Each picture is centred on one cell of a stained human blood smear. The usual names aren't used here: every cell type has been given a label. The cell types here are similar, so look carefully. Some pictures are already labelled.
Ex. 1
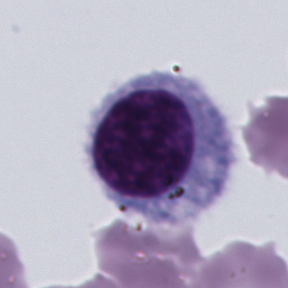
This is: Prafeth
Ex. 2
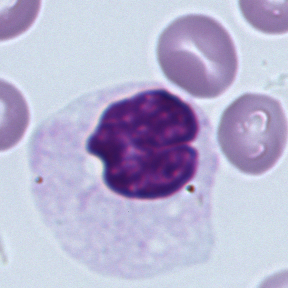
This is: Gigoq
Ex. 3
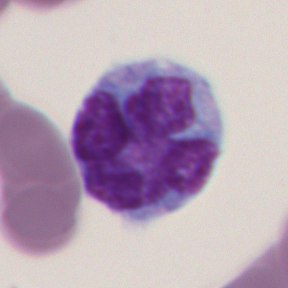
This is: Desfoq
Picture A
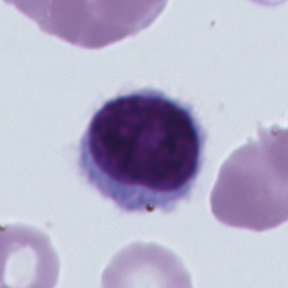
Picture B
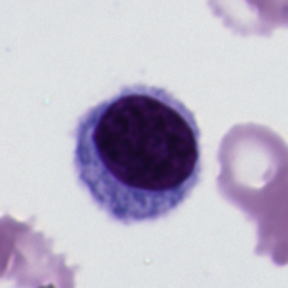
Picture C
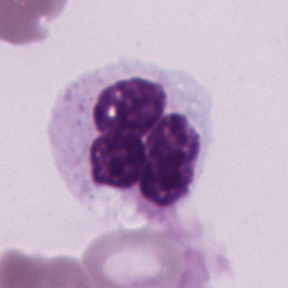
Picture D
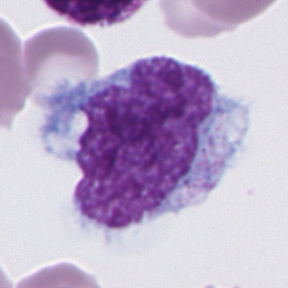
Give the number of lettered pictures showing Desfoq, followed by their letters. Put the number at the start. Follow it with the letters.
Count: 1 (D)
